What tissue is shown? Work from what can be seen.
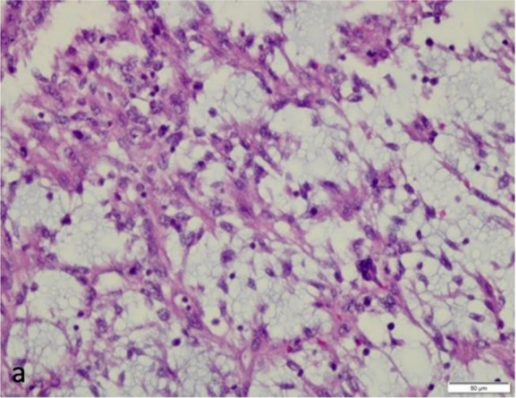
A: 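Myxoid stroma. Pale, loose, finely bubbly background material fills large spaces. Tumor cells form a net of strands between the pale pools.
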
